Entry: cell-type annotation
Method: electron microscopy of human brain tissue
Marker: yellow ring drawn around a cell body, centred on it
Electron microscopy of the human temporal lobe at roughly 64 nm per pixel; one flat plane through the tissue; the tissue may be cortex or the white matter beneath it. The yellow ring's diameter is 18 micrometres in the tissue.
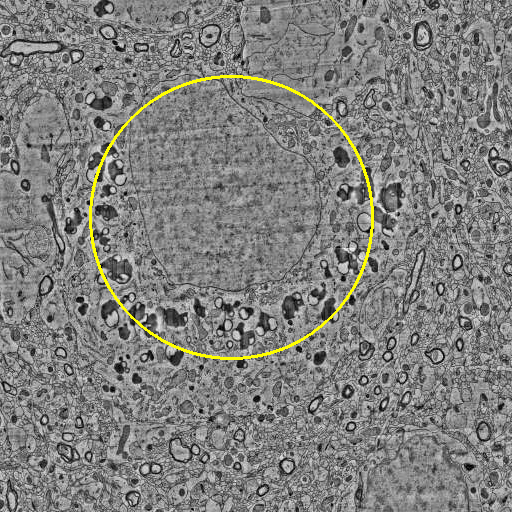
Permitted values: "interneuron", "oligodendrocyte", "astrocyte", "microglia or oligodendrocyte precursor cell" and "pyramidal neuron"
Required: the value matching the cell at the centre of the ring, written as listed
pyramidal neuron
